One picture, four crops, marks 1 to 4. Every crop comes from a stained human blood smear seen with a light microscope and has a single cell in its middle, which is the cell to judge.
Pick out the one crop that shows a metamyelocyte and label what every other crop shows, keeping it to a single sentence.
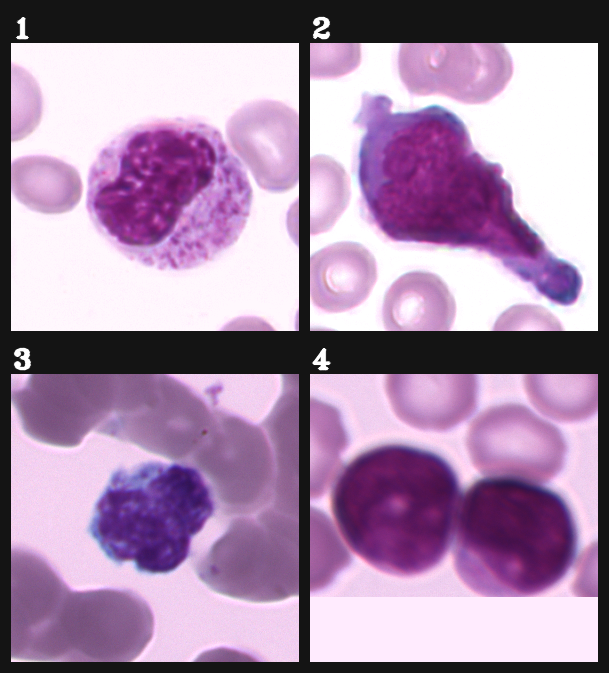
Among these crops, crop 1 shows a metamyelocyte, while crop 2 is an atypical promyelocyte, crop 3 is a monocyte and crop 4 is a myeloblast.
